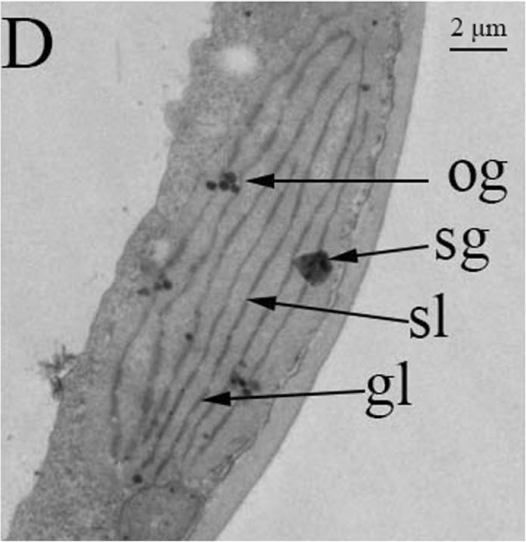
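Parallel membranes run along its whole length: darker stacked grana lamellae alternate with thinner stroma lamellae, giving a striped pattern. A small, irregular dark starch grain sits among them rather than the large oval grains often seen. Small round, very dark osmiophilic granules occur singly and in little clusters in the stroma. A thin layer of cytoplasm separates the chloroplast from the wall on one side and the vacuole on the other.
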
